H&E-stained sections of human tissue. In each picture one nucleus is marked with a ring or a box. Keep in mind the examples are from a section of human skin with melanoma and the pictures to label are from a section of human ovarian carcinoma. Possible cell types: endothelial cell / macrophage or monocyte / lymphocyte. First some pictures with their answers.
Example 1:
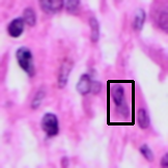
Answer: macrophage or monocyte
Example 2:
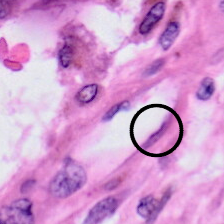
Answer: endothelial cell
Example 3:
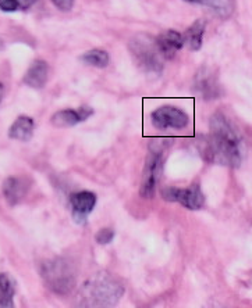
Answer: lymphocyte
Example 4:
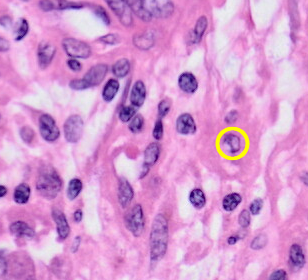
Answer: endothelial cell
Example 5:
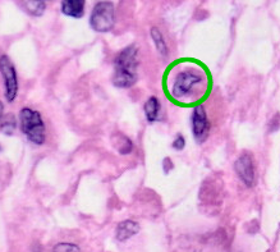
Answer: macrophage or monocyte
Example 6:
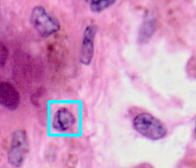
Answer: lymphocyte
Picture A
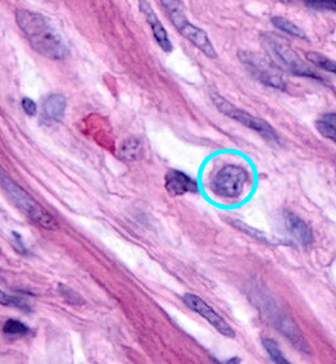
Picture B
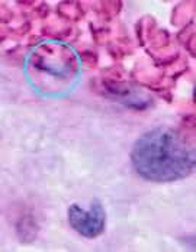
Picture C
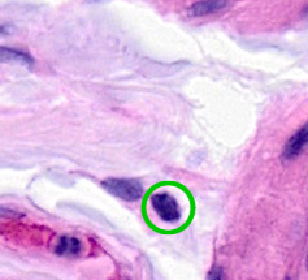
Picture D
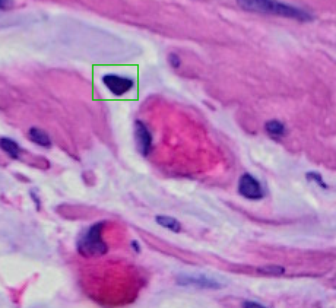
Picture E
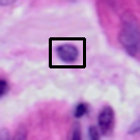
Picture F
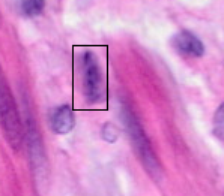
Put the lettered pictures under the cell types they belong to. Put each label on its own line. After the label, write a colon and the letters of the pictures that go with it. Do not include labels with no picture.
endothelial cell: B
macrophage or monocyte: A, F
lymphocyte: C, D, E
